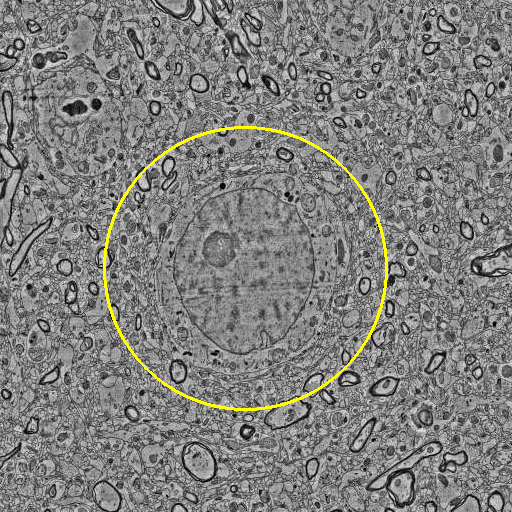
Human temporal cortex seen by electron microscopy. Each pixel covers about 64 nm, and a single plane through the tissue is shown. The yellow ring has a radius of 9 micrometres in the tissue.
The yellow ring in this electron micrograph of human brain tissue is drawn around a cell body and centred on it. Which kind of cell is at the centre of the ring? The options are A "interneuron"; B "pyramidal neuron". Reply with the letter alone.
B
